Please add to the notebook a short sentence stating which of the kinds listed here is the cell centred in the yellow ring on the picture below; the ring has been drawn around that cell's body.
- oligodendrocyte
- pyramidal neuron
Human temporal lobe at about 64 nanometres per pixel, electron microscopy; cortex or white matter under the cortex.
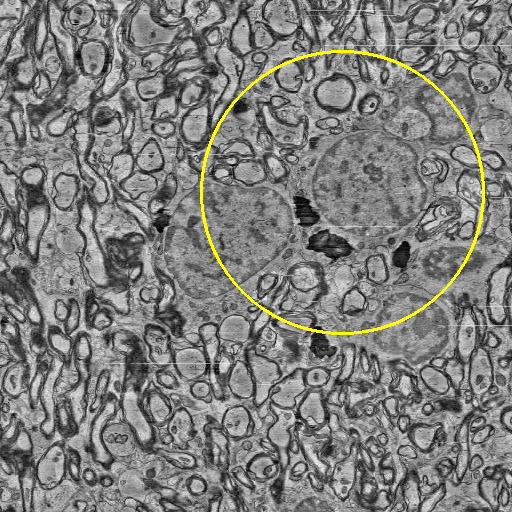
The cell centred in the yellow ring is an oligodendrocyte.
